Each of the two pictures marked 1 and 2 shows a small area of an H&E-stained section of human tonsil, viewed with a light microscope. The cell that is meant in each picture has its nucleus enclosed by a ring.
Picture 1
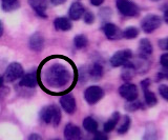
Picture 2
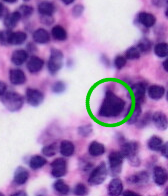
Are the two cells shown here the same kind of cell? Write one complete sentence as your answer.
Yes; the cells in both pictures are proliferating B cells.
